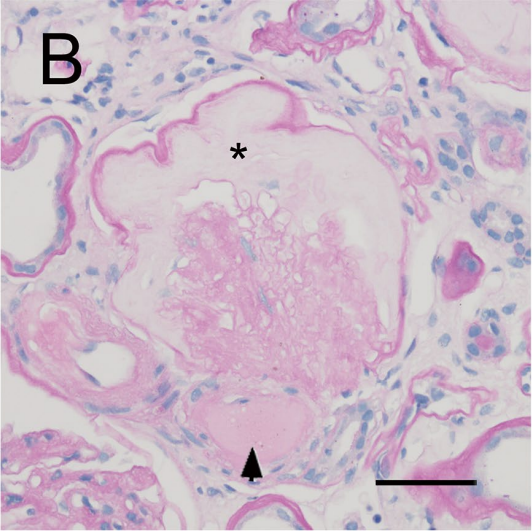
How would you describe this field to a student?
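Globally sclerosed glomerulus in kidney cortex. Wrinkled, folded magenta basement membrane outlines the glomerulus. Its tuft is shrunken into a pale pink, reticulated mass with few nuclei. Between the tuft and the capsule lies a wide zone of pale, faintly pink acellular material. Below the tuft, a small vessel has its wall replaced by glassy homogeneous pink material. The surrounding interstitium holds scattered bluish nuclei and tubules with thick magenta basement membranes.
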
